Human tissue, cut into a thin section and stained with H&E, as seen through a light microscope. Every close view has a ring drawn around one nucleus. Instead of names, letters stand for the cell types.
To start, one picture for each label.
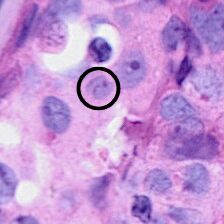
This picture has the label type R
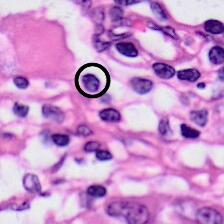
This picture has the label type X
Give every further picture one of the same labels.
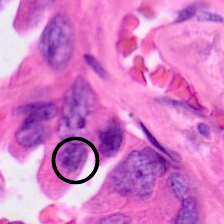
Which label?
type R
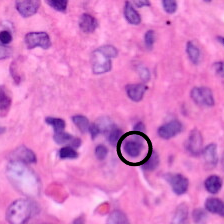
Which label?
type X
